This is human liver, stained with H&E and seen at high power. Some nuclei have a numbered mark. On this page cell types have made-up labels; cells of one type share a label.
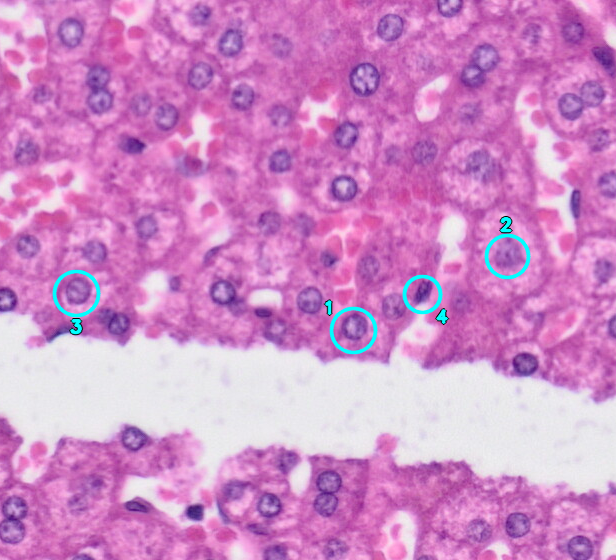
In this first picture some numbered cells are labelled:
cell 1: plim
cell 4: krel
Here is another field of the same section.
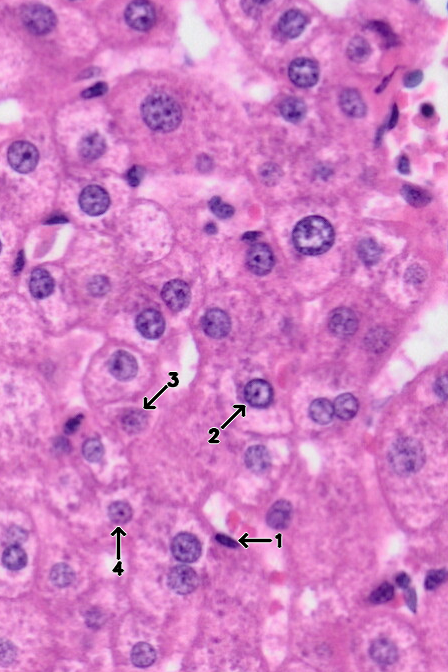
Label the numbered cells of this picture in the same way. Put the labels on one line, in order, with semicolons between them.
krel; plim; plim; plim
